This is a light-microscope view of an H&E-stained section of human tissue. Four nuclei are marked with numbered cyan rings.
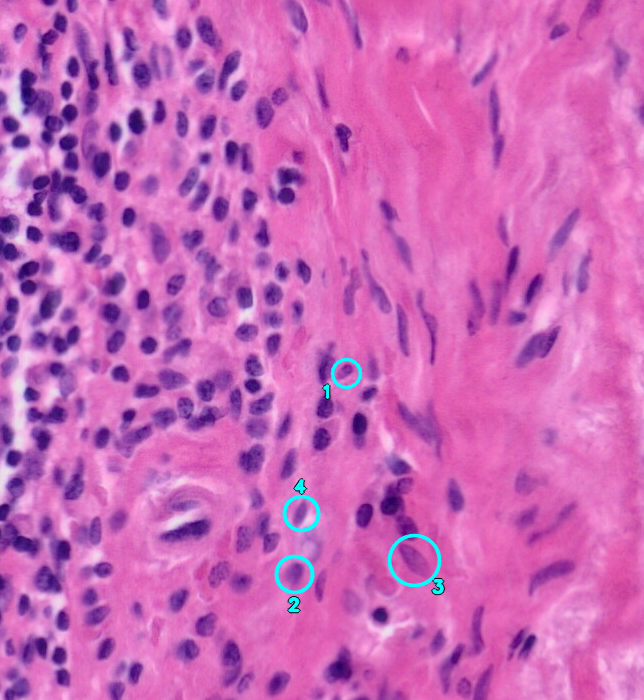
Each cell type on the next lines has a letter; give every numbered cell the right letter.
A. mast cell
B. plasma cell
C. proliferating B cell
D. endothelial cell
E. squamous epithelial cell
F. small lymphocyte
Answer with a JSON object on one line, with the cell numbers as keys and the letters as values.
{"1": "A", "2": "D", "3": "D", "4": "D"}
